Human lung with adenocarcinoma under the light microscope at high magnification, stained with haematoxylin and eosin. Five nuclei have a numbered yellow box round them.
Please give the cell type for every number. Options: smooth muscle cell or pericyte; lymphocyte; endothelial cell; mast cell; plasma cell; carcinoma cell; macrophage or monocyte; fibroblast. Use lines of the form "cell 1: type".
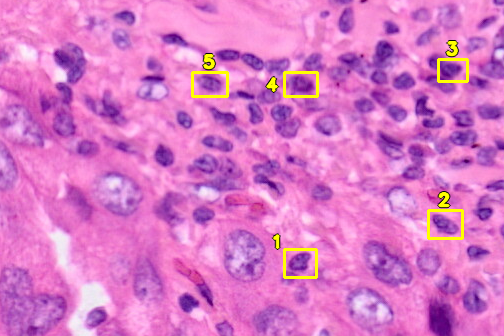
cell 1: lymphocyte
cell 2: lymphocyte
cell 3: lymphocyte
cell 4: plasma cell
cell 5: plasma cell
